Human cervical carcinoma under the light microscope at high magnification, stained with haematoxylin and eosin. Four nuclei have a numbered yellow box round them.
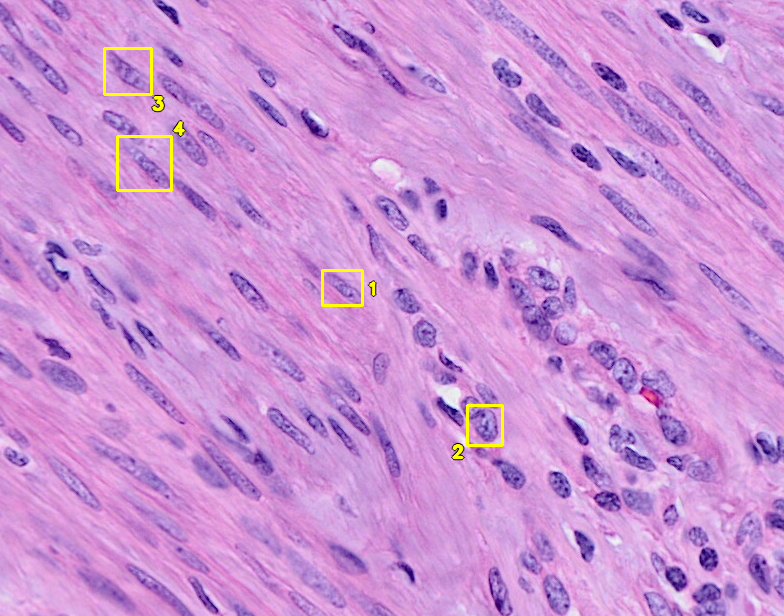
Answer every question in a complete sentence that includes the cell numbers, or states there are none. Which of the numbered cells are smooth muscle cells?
The cells that have numbers 1, 3 and 4 are smooth muscle cells.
